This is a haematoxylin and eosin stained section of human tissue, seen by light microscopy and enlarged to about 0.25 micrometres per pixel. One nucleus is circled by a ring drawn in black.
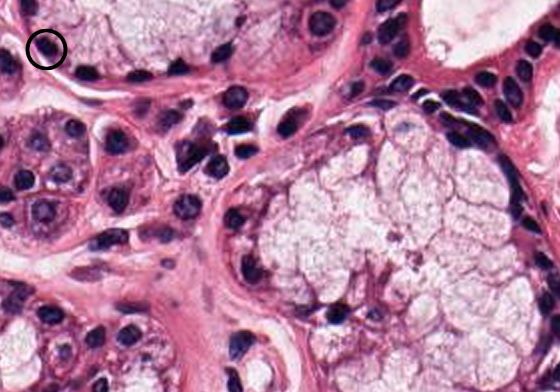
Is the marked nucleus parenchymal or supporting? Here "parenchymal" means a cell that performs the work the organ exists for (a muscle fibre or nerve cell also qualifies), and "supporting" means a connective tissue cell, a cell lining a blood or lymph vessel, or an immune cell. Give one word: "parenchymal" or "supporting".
parenchymal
